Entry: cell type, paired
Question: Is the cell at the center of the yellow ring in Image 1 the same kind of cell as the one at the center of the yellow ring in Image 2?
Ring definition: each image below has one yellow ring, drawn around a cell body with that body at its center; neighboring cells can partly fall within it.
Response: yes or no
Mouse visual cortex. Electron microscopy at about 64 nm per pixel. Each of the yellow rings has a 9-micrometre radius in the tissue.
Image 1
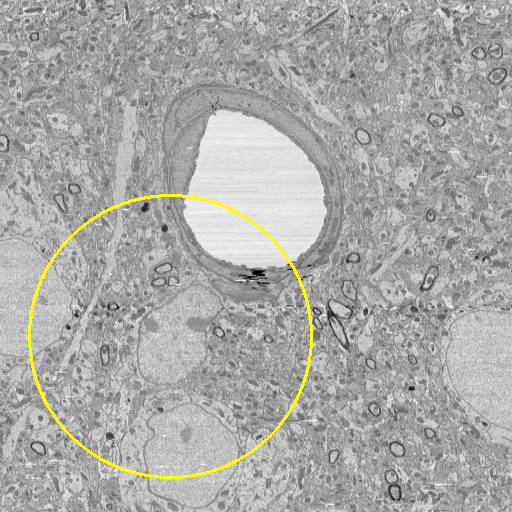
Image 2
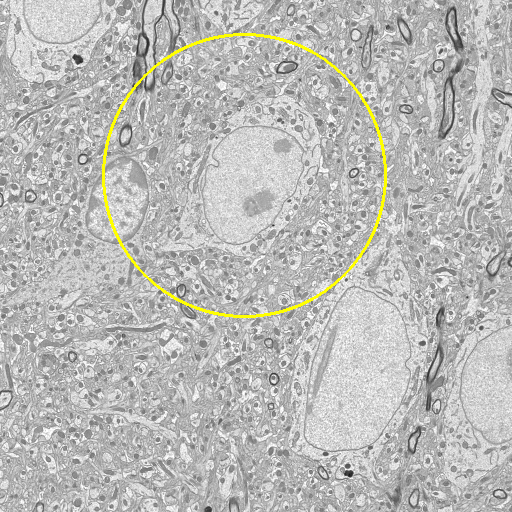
no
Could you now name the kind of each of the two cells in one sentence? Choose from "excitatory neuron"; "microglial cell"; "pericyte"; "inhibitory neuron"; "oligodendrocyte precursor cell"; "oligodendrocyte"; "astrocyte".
The first ring encloses an astrocyte; the second ring encloses an excitatory neuron.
